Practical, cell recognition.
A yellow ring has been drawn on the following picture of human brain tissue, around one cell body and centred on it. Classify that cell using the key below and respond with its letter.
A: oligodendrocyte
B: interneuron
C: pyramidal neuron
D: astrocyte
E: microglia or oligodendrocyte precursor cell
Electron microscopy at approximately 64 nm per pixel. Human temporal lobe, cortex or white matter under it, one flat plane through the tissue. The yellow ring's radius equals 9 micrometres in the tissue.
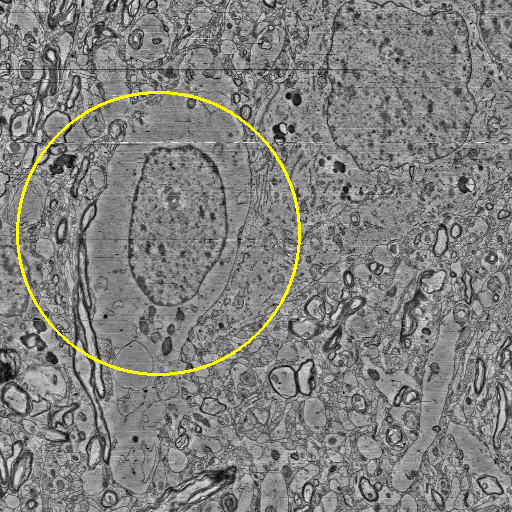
D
